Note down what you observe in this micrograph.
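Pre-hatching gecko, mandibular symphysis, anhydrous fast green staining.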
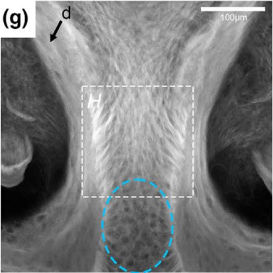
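A dense, bright band of fine collagen fibres runs down the centre of the field, narrowing to a waist in the middle and flaring out toward the top. The fibres within the band form a fine, interwoven, criss-crossing meshwork rather than straight parallel strands. At the lower end the band meets a rounded region with a finely mottled texture, marked by a dashed circle. On either side the tissue is darker and less fibrous, so the bridging band stands out clearly.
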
